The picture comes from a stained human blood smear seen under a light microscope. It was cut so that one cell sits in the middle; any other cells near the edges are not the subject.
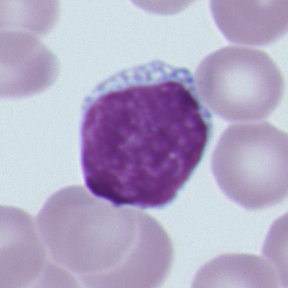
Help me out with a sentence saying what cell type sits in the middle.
The cell shown in the center of this light-microscope crop is a typical lymphocyte.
